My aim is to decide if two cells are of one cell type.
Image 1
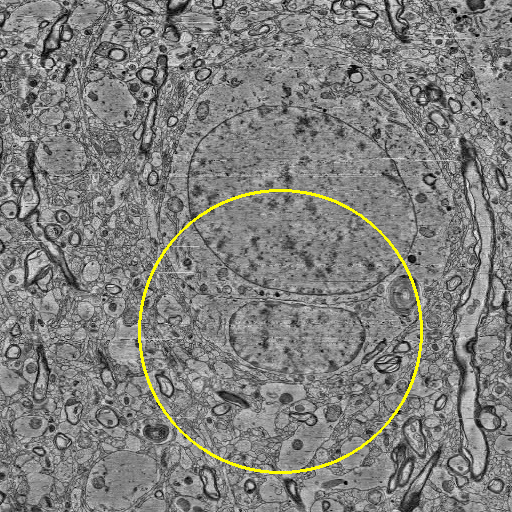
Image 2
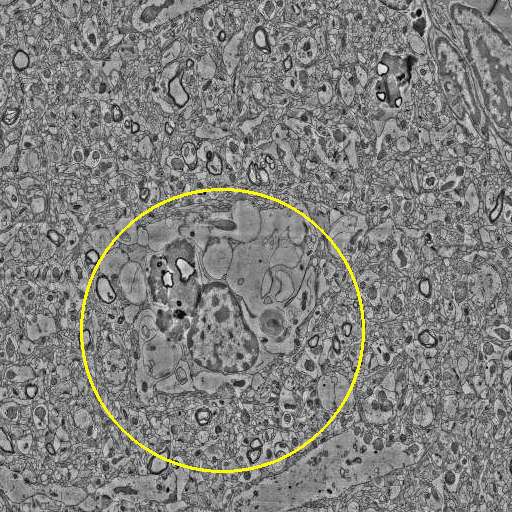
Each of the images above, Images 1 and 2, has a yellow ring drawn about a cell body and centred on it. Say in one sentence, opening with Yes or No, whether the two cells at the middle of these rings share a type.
Yes, in Images 1 and 2 the cells at the middle of the rings share one type.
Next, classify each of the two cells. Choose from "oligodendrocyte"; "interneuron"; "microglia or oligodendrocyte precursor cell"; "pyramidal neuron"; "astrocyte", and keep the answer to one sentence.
The second cell is a microglial cell or oligodendrocyte precursor cell, just as the first is.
